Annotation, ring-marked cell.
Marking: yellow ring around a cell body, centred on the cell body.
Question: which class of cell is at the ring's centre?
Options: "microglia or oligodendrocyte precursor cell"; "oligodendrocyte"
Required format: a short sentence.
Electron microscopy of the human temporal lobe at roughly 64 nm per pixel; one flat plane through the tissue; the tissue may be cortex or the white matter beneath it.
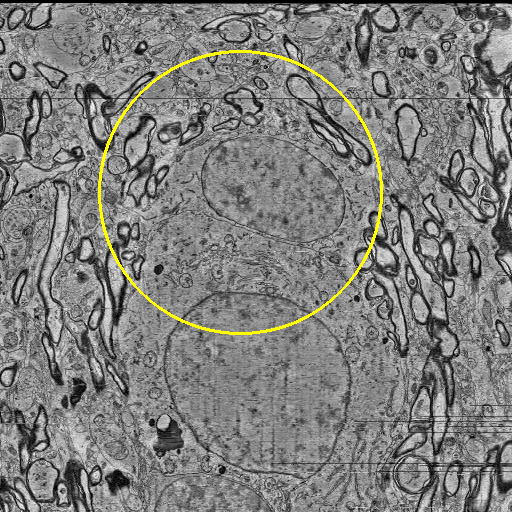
At the ring's centre is a microglial cell or oligodendrocyte precursor cell.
